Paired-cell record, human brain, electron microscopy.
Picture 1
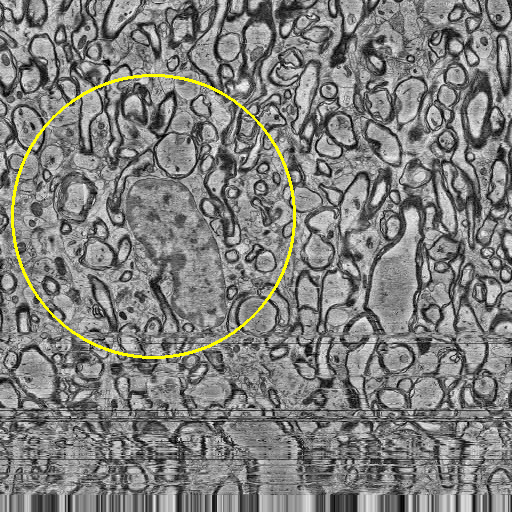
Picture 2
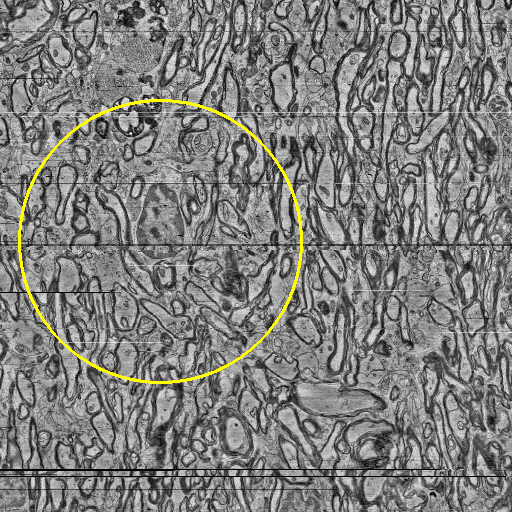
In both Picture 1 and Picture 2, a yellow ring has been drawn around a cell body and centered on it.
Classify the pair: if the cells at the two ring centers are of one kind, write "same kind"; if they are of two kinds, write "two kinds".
same kind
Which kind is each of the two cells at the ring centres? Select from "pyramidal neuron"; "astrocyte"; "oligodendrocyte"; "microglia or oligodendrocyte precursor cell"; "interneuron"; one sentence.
The second cell is a microglial cell or oligodendrocyte precursor cell, just as the first is.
